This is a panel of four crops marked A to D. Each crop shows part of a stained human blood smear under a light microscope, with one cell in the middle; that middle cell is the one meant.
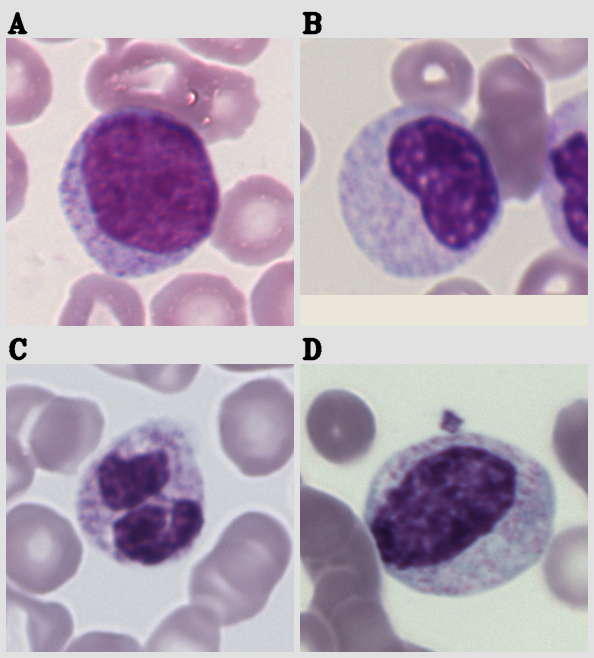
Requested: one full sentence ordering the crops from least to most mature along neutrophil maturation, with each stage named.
In terms of maturity, from least to most, the order is crop A (a promyelocyte), crop D (a myelocyte), crop B (a metamyelocyte) and crop C (a segmented neutrophil).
